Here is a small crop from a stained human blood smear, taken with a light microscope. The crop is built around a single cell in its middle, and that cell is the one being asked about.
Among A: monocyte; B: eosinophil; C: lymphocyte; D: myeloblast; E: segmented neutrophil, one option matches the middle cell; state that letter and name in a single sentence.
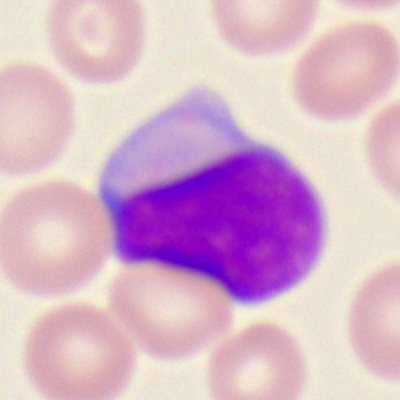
The cell in the middle is a myeloblast, and that makes option D correct.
